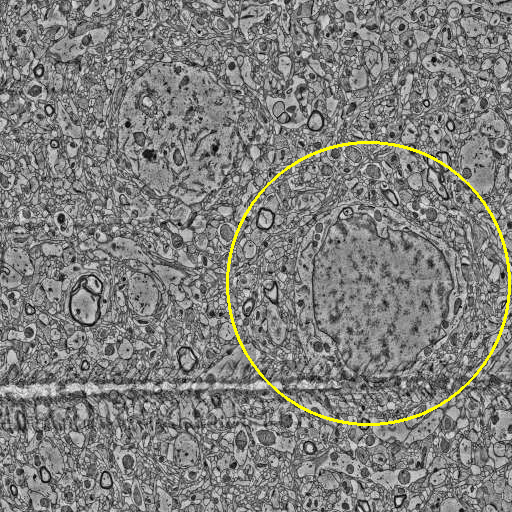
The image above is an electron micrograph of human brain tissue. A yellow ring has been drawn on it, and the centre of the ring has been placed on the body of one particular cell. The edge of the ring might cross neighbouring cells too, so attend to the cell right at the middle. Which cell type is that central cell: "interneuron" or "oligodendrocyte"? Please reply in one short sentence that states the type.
The central cell in the ring is an interneuron.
